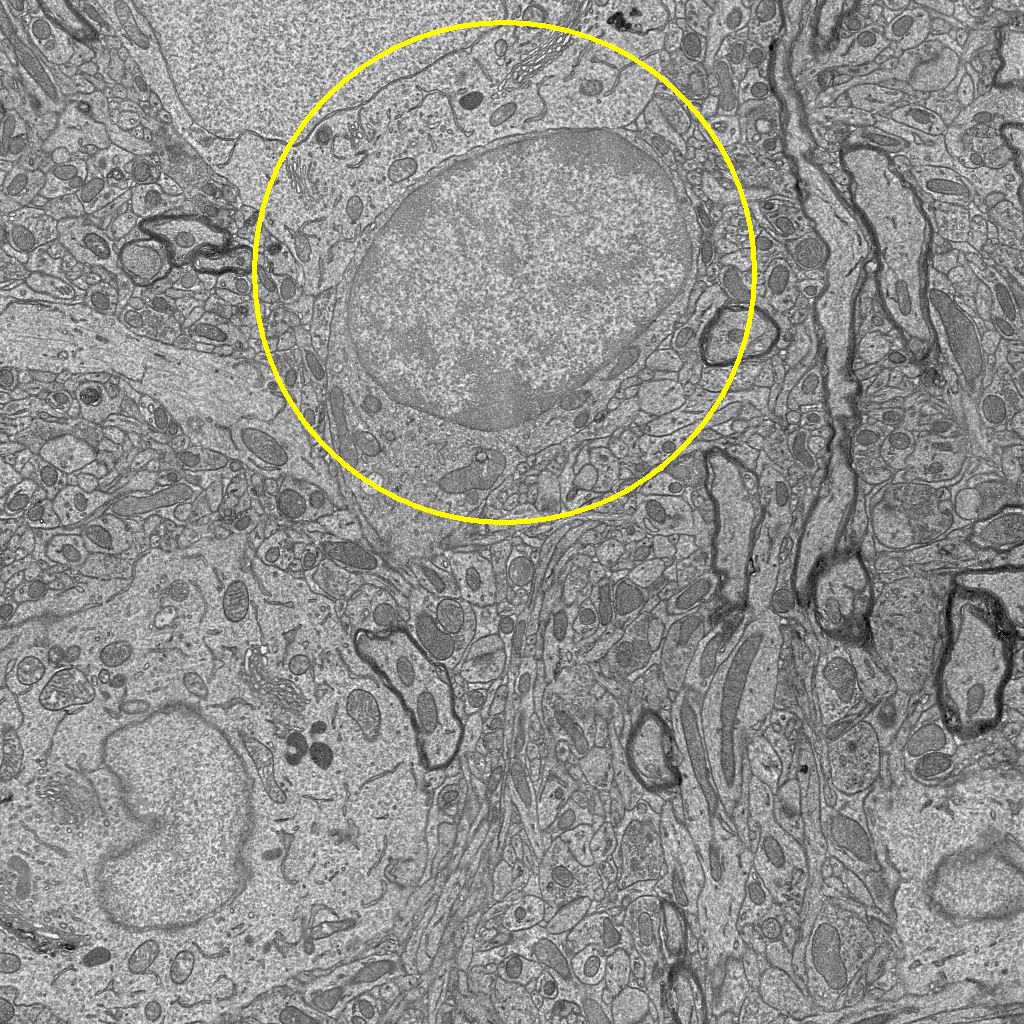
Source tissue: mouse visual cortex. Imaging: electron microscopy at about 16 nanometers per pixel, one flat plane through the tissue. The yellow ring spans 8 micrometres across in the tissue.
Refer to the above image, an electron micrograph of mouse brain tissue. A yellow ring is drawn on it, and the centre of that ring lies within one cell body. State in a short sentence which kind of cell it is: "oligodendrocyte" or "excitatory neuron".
The centre of the ring falls on an oligodendrocyte.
